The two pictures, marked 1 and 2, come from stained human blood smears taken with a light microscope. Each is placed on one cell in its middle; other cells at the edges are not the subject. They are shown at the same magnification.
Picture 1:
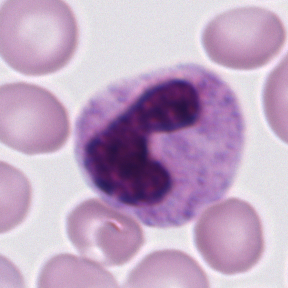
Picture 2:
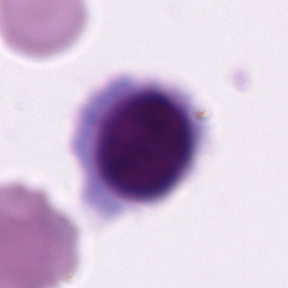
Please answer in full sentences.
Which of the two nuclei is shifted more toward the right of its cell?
It is the nucleus in picture 2 that lies further toward the right of its cell.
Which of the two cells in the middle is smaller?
The cell in picture 2 is smaller; the one in picture 1 has about 1.5 times its area.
